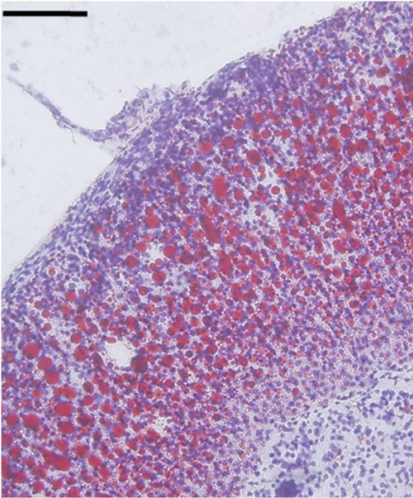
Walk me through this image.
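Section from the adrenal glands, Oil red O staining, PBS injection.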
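Along the upper left edge runs a thin capsule of flattened cells, with a loose strand of tissue lifting away from it. Just beneath it lies a narrow band of crowded small blue nuclei with little red. Deeper in, a broad zone of cells is packed with round red droplets of varying size, some large and densely clustered, so the tissue looks almost solidly red. Toward the lower right the red thins out into a paler area where only scattered blue nuclei remain.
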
